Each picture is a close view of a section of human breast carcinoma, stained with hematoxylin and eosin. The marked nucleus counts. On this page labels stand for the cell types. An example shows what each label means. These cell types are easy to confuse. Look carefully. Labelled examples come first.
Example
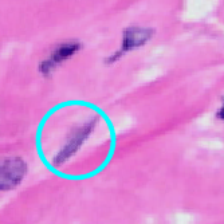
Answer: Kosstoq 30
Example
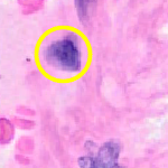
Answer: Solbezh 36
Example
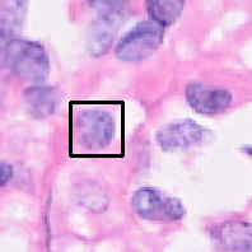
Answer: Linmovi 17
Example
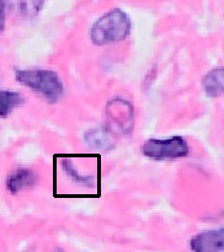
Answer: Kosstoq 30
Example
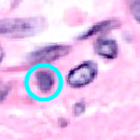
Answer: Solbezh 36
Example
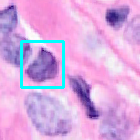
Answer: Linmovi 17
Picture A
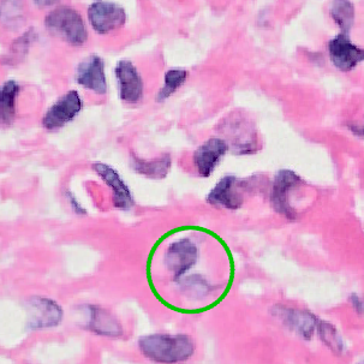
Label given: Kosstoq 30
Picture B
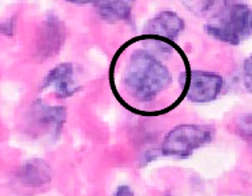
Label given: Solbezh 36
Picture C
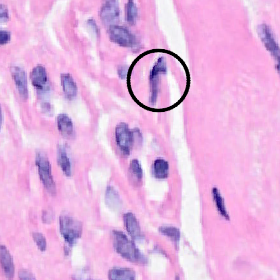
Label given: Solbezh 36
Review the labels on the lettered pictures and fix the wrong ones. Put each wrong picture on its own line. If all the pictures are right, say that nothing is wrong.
B: change Solbezh 36 to Linmovi 17
C: change Solbezh 36 to Kosstoq 30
